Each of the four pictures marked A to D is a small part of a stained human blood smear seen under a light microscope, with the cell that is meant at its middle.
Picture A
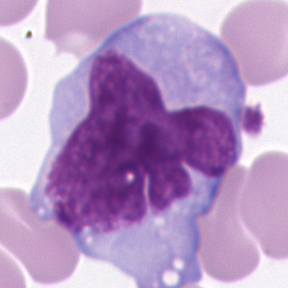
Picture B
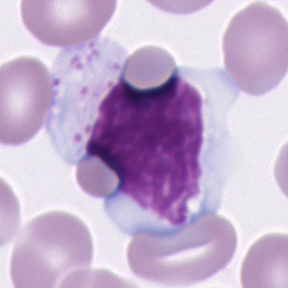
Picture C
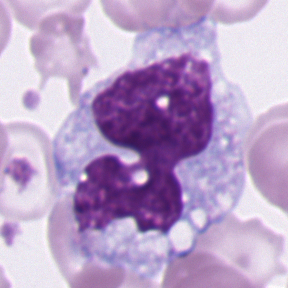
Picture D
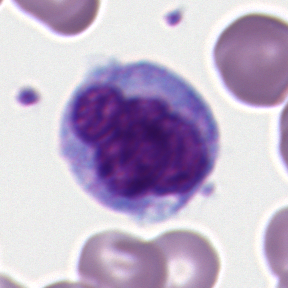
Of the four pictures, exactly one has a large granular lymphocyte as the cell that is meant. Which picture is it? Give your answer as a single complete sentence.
It is picture B that shows the large granular lymphocyte.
